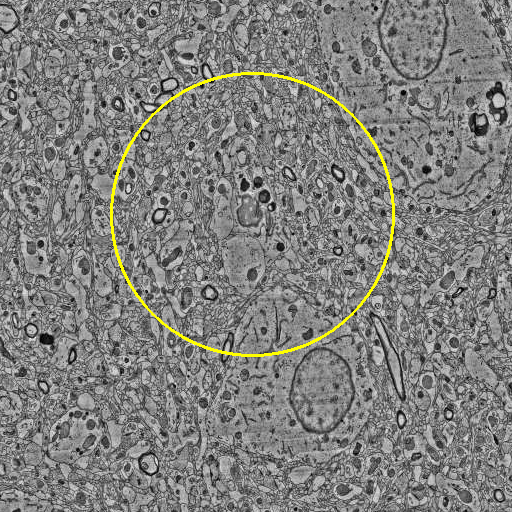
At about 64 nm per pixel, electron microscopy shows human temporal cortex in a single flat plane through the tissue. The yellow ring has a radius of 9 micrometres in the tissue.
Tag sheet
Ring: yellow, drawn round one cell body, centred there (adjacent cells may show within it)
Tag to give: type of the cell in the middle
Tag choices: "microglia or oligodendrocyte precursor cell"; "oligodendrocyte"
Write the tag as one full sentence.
I tag the cell centred in the yellow ring as a microglial cell or oligodendrocyte precursor cell in this picture.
